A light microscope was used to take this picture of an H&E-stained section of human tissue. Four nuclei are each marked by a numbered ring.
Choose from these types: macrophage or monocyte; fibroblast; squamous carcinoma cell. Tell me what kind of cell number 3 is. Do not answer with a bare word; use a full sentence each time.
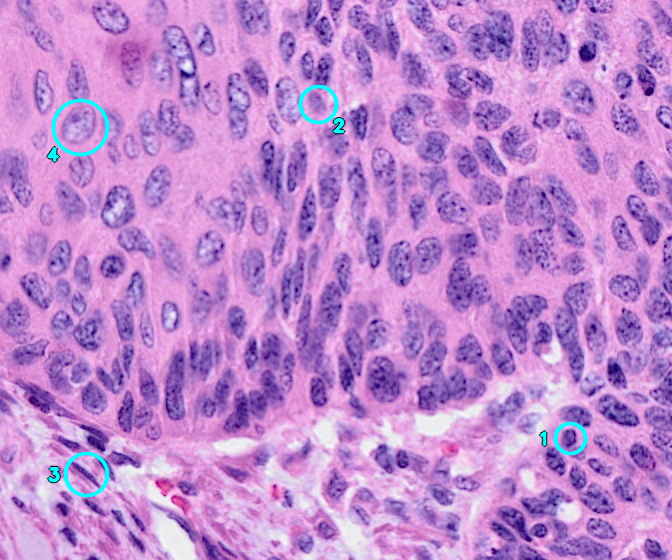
In the marked set, the cell given number 3 is a fibroblast.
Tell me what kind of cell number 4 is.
The cell referred to as 4 is a squamous carcinoma cell.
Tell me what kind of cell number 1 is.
It is as a squamous carcinoma cell that the cell numbered 1 is identified.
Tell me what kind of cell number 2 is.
Denoted by the label 2 in the section is a squamous carcinoma cell.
